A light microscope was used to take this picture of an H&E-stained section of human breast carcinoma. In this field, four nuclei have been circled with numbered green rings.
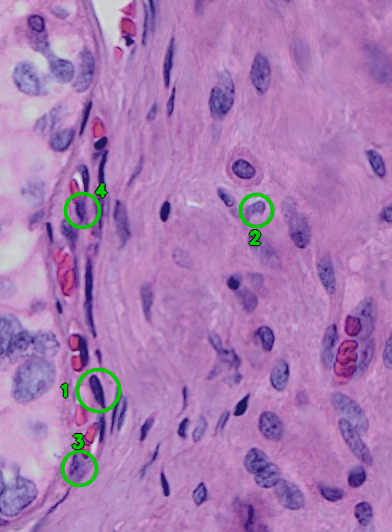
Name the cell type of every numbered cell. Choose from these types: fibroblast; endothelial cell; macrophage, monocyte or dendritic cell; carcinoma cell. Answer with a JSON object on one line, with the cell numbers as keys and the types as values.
{"1": "endothelial cell", "2": "fibroblast", "3": "endothelial cell", "4": "endothelial cell"}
